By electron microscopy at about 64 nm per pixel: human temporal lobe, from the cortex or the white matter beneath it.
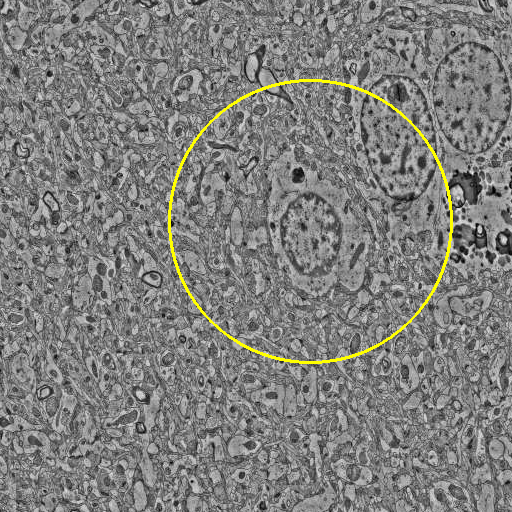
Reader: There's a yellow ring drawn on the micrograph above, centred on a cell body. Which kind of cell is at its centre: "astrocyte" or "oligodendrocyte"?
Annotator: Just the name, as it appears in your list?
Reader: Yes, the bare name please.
astrocyte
